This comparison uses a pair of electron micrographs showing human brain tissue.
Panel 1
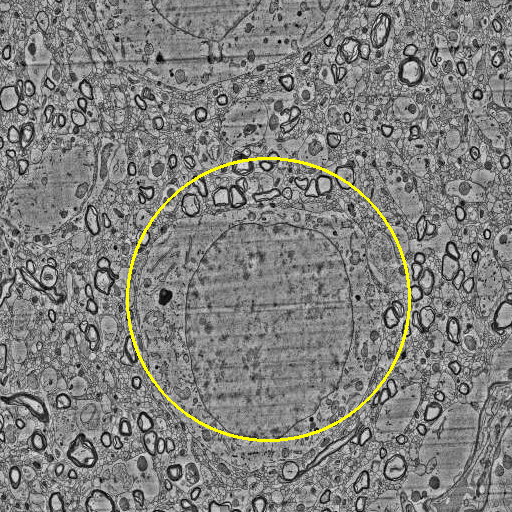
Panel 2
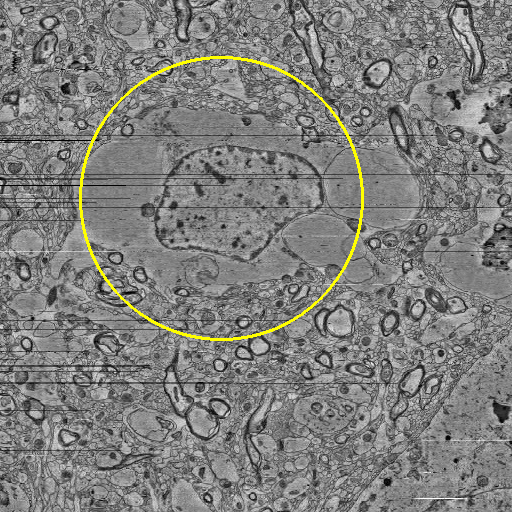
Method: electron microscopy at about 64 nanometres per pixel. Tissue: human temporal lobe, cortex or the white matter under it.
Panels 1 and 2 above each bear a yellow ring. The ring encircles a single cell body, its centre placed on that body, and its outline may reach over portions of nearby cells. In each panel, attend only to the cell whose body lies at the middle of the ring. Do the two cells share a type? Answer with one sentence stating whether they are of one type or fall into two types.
In Panel 1 and Panel 2, the cells at the centres of the rings fall into two types.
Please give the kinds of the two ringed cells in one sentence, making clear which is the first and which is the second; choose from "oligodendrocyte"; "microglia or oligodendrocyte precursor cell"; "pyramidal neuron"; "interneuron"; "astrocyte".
In the second picture the ringed cell is an astrocyte; in the first it is a pyramidal neuron.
